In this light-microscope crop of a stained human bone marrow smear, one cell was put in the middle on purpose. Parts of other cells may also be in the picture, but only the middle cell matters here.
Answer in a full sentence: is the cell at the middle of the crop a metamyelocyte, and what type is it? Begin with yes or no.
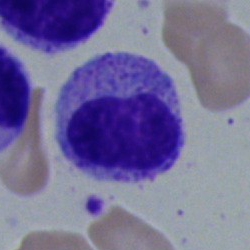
Yes, the cell of interest in the middle is a metamyelocyte.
